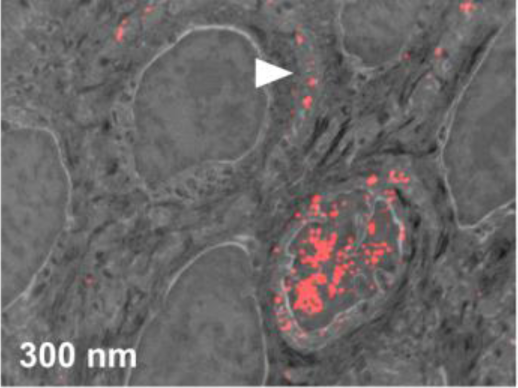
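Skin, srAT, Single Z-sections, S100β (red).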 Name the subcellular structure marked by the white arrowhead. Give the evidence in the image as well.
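Protrusions. A thin strip carrying red dots runs up between neighbouring cells. The strip lies against the border of a large cell with an oval nucleus.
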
